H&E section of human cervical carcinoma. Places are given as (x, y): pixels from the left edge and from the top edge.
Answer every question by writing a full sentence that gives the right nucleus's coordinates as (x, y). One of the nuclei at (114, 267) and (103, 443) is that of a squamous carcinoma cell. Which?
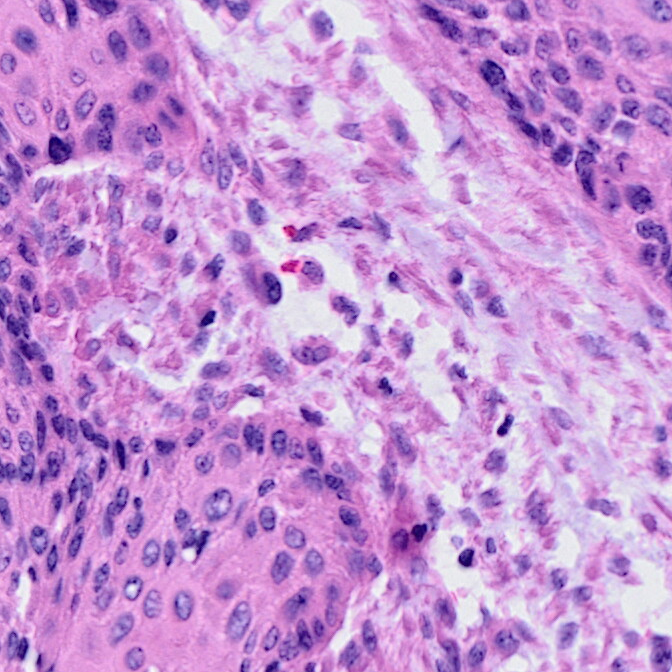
The one nucleus of the two that belongs to a squamous carcinoma cell is at (103, 443).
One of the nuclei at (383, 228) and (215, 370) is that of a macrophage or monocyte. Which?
The nucleus at (215, 370) is assigned to a macrophage or monocyte.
